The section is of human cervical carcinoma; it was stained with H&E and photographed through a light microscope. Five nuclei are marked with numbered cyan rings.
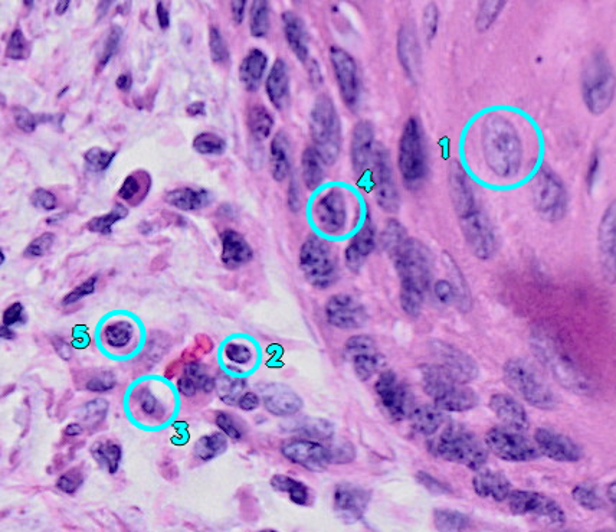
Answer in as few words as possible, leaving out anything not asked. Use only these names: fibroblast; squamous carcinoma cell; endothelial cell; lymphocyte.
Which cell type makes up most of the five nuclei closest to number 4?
squamous carcinoma cell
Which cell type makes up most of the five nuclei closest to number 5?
endothelial cell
